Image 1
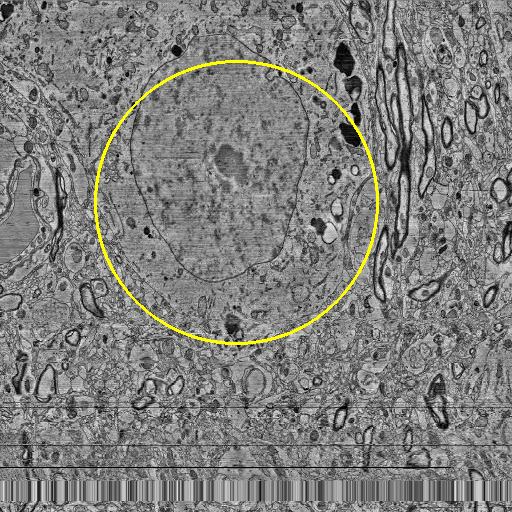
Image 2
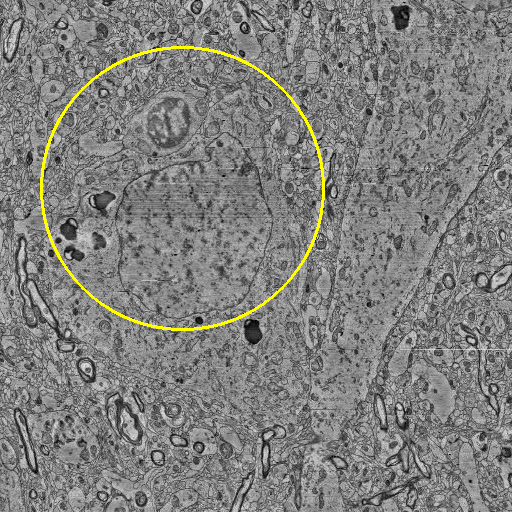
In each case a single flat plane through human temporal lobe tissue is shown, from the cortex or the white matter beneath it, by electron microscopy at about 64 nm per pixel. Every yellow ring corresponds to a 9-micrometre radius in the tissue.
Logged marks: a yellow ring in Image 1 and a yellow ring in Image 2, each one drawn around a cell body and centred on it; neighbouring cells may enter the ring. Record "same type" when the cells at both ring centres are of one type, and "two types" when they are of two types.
same type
